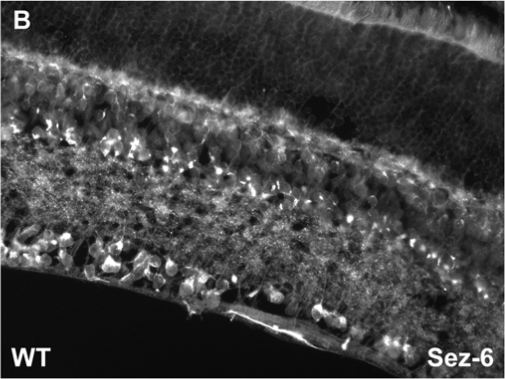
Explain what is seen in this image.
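At top, the densely packed photoreceptor nuclear layer is dark and unlabelled. Below it a thin bright band marks the outer plexiform layer. The inner nuclear layer contains many labelled cell bodies, brightest along its inner border. The broad inner plexiform layer is filled with a fine, granular, reticular pattern of puncta. Along the inner surface, the ganglion cell layer holds a row of brightly labelled somata of varied size, with a thin bright line along the innermost retinal surface.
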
